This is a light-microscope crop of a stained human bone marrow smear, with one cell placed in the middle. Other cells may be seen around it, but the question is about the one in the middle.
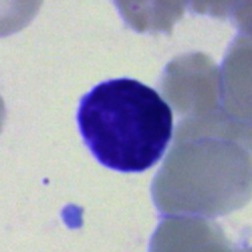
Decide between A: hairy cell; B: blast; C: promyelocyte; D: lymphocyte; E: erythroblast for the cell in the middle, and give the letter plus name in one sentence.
The cell in the center of this crop is a lymphocyte, so option D is the one to pick.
